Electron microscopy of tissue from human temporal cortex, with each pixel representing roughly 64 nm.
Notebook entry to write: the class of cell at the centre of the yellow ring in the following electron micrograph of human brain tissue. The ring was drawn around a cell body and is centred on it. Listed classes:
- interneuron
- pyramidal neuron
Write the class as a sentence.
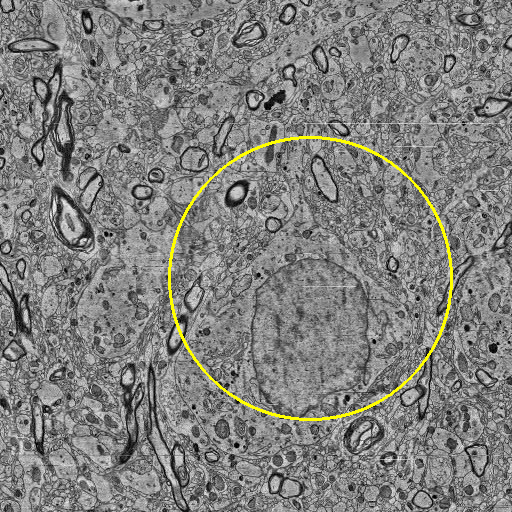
The yellow ring sits on a pyramidal neuron.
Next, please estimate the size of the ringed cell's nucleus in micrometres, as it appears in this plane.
The nucleus is approximately 11 micrometers long by 8 micrometers wide in this plane.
